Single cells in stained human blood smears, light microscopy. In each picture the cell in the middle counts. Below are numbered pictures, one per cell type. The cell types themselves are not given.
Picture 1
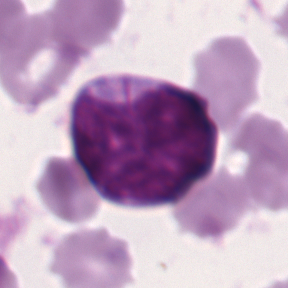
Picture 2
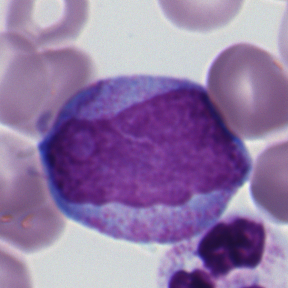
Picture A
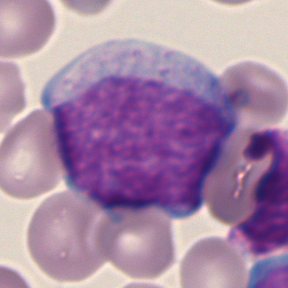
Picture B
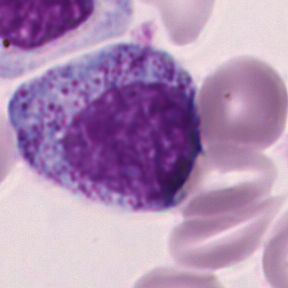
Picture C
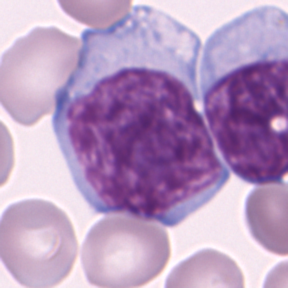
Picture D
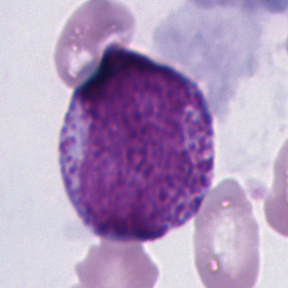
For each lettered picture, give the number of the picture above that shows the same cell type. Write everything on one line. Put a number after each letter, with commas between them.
A 2, B 2, C 1, D 2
